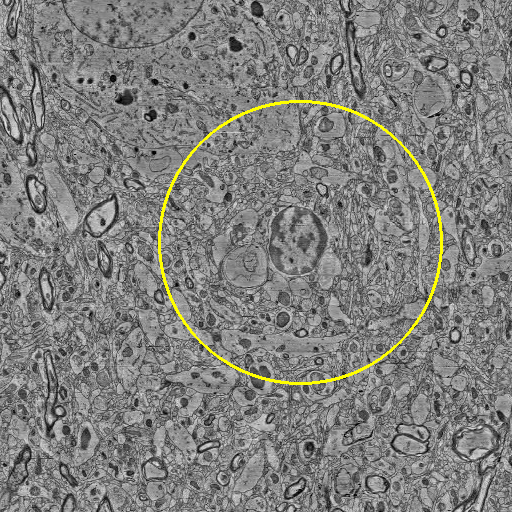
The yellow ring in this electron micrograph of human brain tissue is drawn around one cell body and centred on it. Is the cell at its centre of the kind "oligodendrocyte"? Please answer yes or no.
no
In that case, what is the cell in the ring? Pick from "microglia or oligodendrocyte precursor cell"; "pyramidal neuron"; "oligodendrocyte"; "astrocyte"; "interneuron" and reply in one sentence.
The correct answer is that the cell is a microglial cell or oligodendrocyte precursor cell.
